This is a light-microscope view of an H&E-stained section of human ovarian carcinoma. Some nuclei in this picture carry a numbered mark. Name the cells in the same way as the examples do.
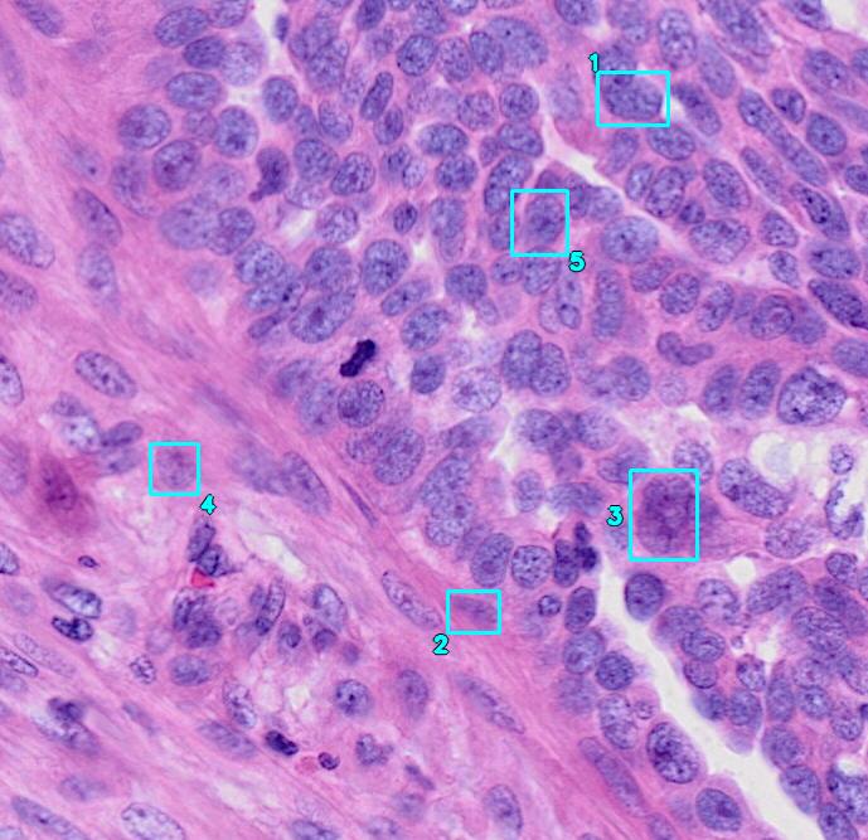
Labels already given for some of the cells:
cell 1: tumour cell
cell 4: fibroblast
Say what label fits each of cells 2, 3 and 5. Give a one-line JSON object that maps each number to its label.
{"2": "fibroblast", "3": "tumour cell", "5": "tumour cell"}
